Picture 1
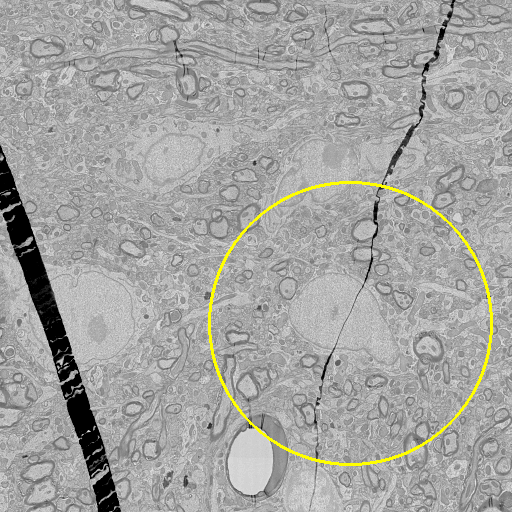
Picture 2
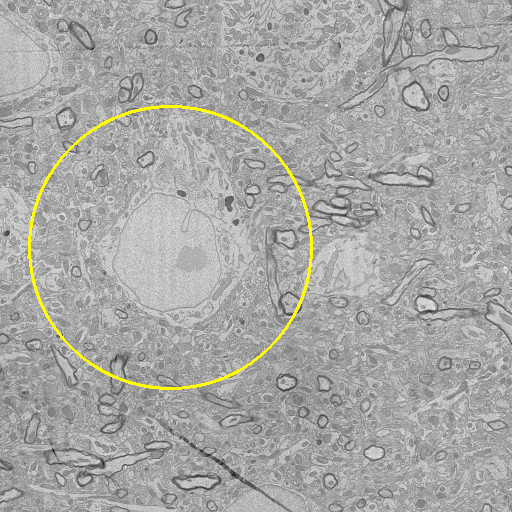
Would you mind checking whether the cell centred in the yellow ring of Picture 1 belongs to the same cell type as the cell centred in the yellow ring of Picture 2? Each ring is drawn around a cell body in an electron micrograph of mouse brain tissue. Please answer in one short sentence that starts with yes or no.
No, the two cells are of two types.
